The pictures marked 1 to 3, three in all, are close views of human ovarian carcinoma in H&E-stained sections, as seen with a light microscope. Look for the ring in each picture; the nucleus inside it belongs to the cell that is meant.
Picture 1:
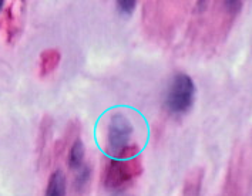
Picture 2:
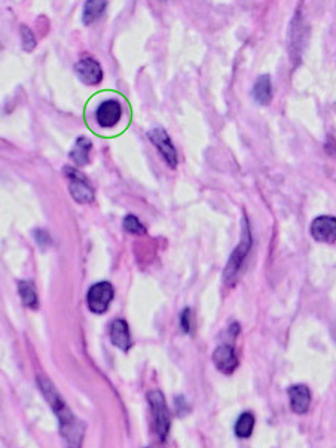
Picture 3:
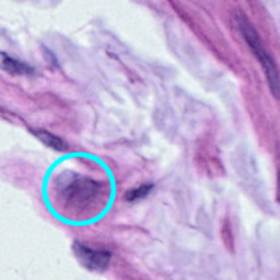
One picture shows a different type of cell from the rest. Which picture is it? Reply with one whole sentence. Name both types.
Unlike the rest, which show endothelial cells, picture 2 shows a lymphocyte.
